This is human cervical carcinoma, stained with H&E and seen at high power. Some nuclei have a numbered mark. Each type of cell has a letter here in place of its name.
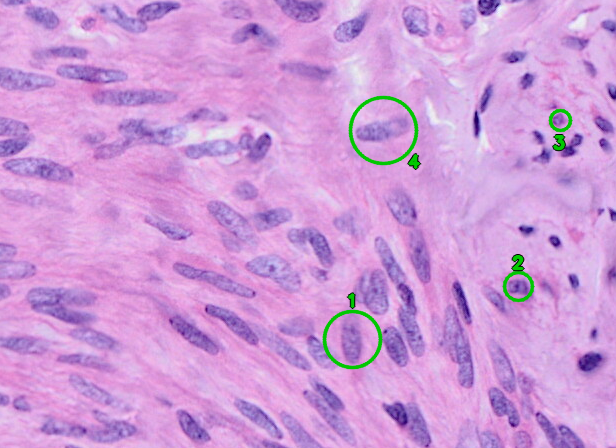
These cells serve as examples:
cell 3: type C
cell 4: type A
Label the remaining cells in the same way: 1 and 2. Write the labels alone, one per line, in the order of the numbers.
type C
type C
